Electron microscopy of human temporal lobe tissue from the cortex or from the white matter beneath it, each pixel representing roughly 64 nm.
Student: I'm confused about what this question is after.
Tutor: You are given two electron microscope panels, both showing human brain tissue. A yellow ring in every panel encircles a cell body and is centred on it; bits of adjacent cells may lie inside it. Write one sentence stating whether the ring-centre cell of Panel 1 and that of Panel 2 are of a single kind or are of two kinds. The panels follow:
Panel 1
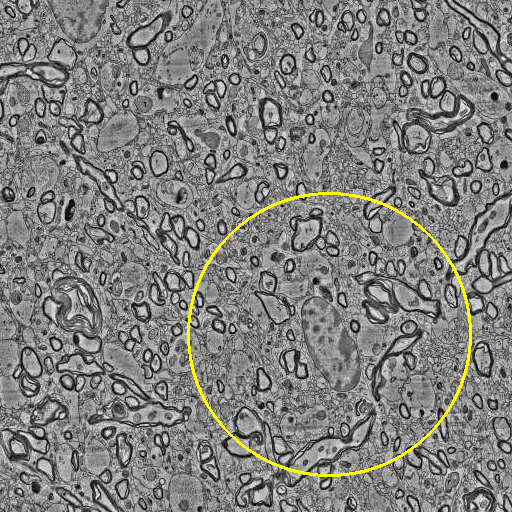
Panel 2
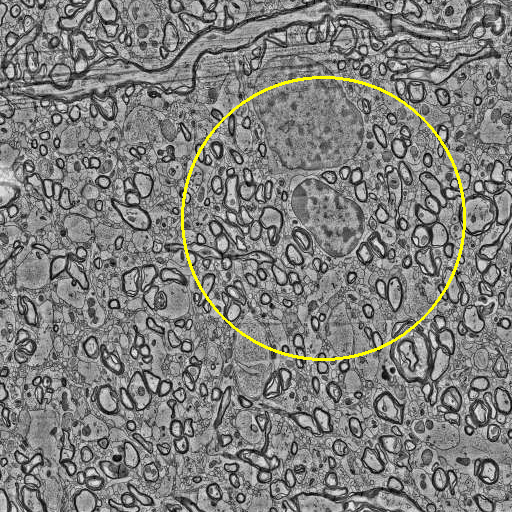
Here, the Panel 1 ring-centre cell and the Panel 2 ring-centre cell are of a single kind.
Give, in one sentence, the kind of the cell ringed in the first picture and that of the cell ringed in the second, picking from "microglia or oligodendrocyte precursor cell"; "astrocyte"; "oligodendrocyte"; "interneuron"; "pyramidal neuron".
Each cell, in the first picture and the second, is a microglial cell or oligodendrocyte precursor cell.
